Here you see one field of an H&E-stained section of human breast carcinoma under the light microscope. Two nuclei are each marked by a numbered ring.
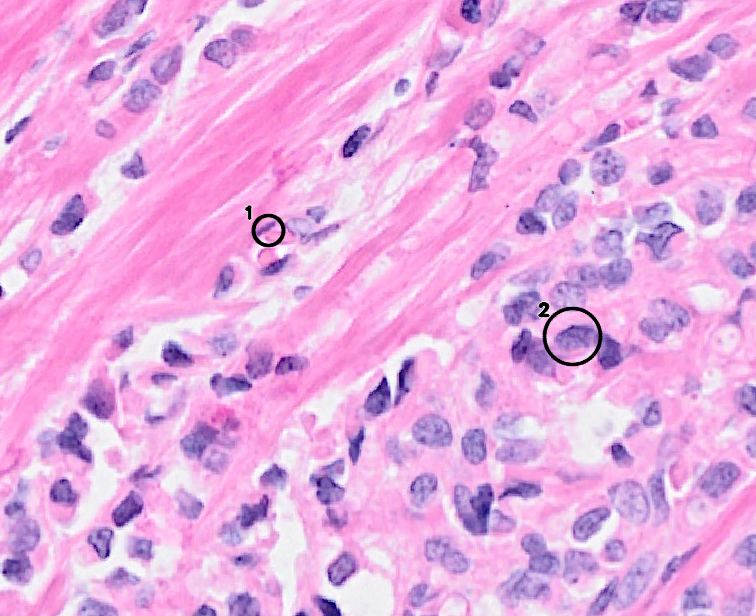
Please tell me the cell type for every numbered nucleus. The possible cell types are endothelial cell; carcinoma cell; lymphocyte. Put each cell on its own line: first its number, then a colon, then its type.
1: endothelial cell
2: carcinoma cell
